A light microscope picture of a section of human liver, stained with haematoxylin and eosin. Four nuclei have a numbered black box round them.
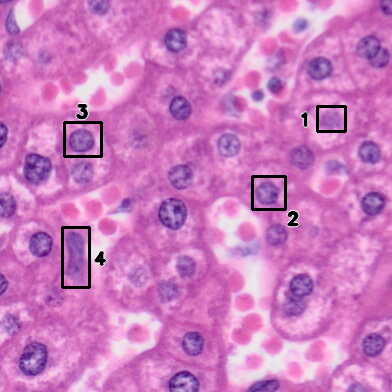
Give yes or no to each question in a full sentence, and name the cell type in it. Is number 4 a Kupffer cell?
Yes, the cell that bears the number 4 is a Kupffer cell.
